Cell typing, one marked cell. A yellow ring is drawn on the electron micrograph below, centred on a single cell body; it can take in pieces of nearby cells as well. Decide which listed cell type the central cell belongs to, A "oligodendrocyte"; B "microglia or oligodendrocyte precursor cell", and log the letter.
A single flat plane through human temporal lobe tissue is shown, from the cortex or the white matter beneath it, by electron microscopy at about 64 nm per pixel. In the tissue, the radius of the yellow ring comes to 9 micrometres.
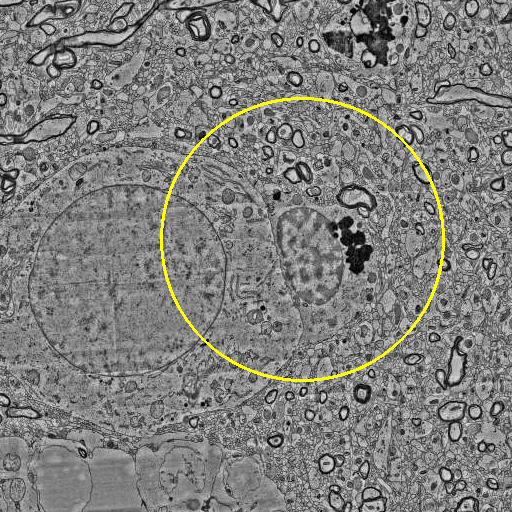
A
